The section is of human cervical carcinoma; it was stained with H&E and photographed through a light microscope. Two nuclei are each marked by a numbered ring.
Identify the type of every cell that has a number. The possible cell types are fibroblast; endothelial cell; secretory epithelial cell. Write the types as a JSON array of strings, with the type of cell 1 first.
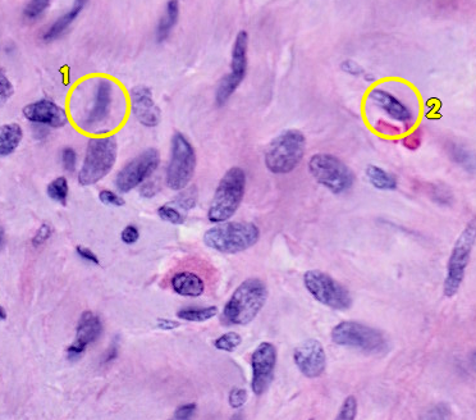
["fibroblast", "endothelial cell"]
